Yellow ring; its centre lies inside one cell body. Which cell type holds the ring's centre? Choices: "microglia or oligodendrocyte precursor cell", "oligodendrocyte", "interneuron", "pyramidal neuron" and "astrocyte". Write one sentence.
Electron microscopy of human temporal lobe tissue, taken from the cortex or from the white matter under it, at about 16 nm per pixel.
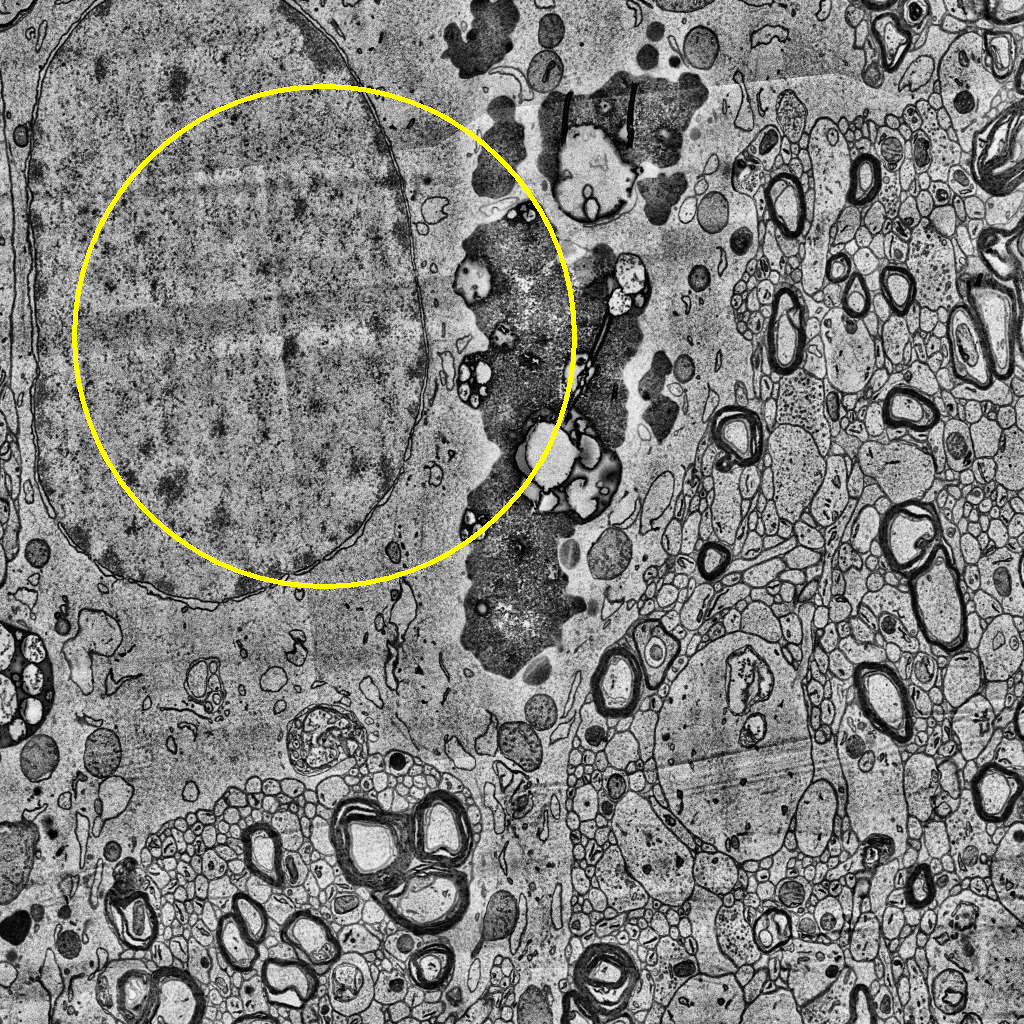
At the centre of the ring sits an astrocyte.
